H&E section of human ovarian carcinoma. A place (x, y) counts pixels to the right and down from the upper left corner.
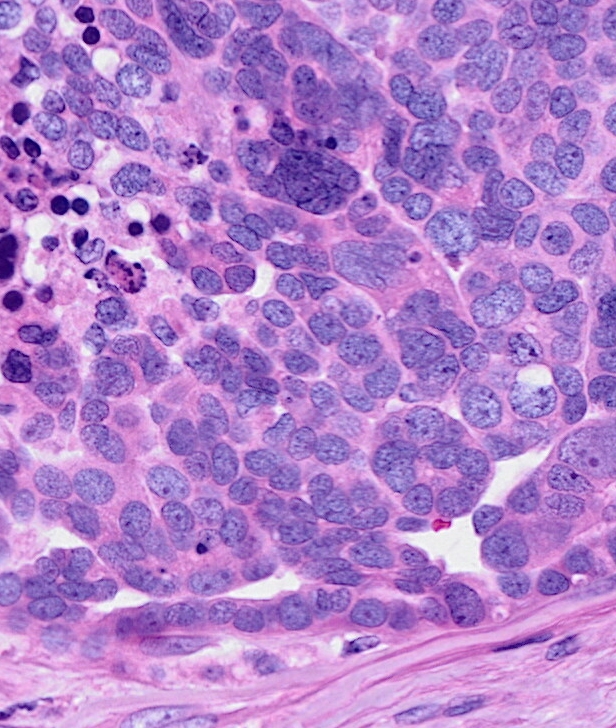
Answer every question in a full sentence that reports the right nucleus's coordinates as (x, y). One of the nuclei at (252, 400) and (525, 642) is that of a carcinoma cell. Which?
The nucleus at position (252, 400) belongs to a carcinoma cell.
